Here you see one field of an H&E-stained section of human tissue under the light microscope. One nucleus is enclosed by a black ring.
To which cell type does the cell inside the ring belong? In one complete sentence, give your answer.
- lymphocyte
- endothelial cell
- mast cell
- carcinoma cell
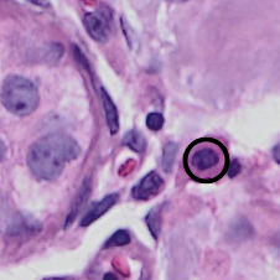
The identity of the cell inside the ring is that of a mast cell.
